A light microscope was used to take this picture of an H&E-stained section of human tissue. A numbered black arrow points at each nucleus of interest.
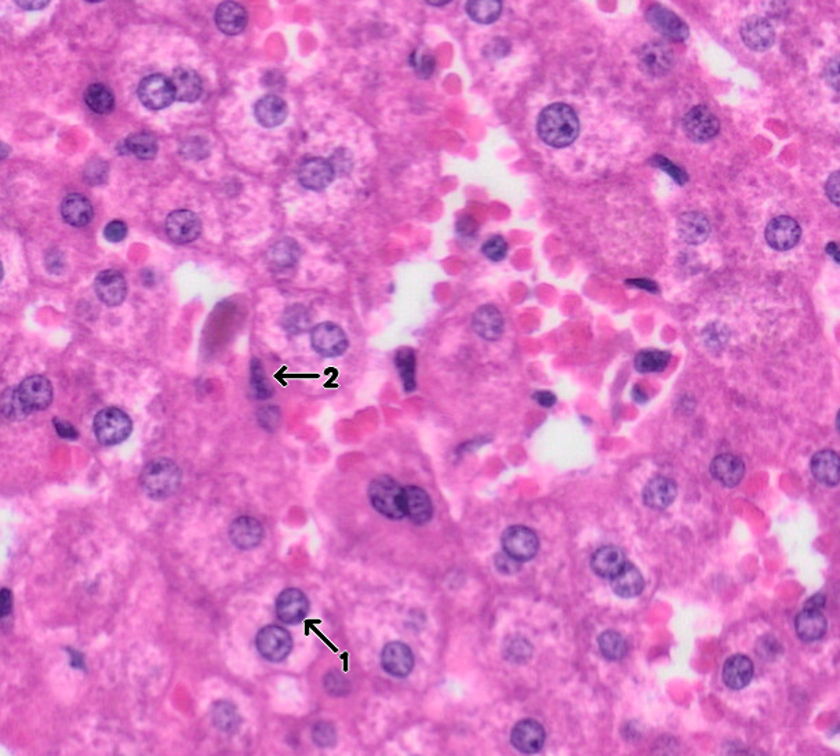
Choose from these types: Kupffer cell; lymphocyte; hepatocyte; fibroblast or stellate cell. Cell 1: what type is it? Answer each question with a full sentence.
Here, the cell given the number 1 is a hepatocyte.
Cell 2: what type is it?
The cell marked with number 2 is a fibroblast or stellate cell.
